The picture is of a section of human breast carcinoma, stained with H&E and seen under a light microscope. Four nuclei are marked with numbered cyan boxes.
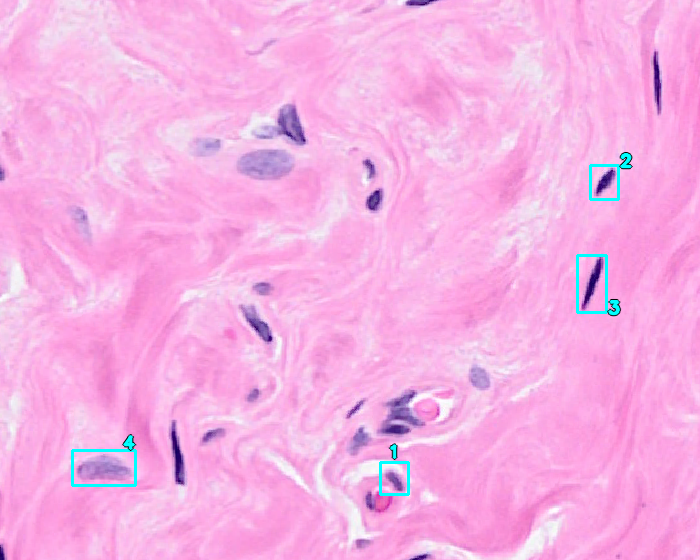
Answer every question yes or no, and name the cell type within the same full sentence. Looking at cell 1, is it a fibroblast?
No, a fibroblast is not what cell 1 is; it is an endothelial cell.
